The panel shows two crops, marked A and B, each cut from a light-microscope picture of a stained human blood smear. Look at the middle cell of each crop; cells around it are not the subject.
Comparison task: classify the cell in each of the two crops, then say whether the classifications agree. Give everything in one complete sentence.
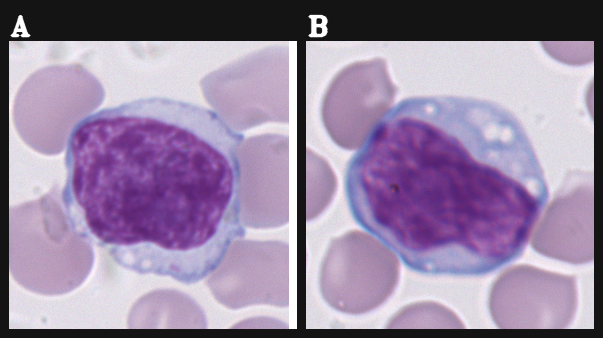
Yes, the cells in both crops are myeloblasts.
